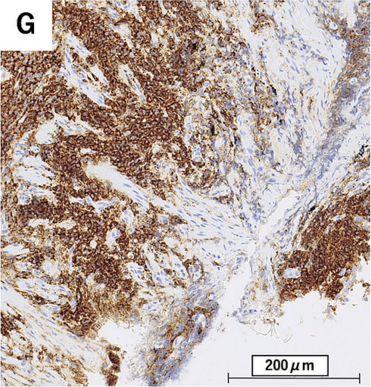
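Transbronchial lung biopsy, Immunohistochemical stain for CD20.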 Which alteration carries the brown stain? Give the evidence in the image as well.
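Densely packed small round cells are stained brown. The brown cells form sheets and clusters between pale blue stroma. On this evidence: Lymphocytic infiltration.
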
